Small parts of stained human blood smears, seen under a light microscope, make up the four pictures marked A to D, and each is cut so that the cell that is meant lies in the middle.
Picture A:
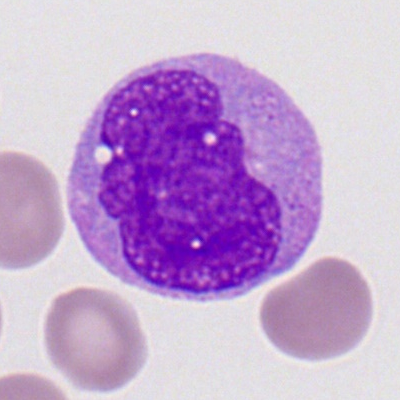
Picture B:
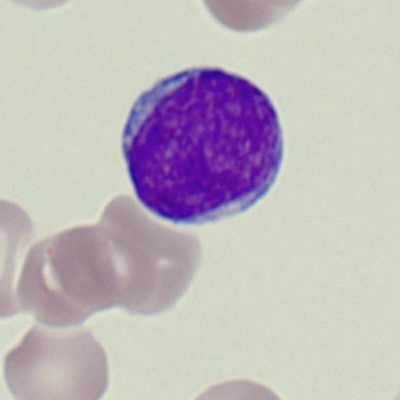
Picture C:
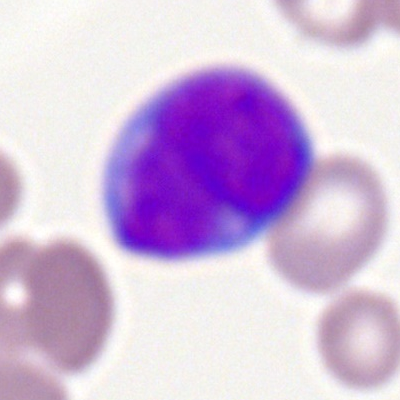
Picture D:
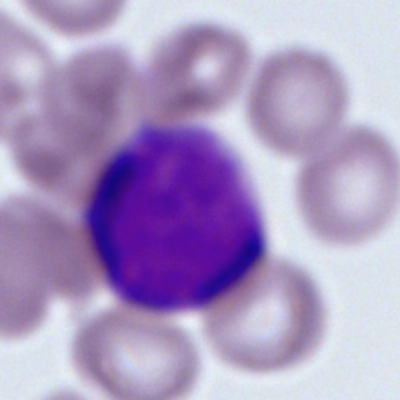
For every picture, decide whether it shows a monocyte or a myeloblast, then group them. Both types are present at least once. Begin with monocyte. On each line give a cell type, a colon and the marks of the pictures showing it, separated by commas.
monocyte: A
myeloblast: B, C, D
